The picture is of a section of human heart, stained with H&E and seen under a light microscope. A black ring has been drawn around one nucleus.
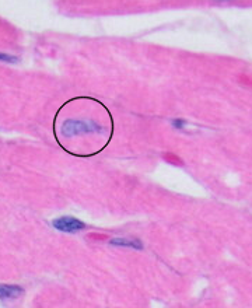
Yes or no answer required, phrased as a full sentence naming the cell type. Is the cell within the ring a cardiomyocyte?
Yes, the statement that the cell within the ring is a cardiomyocyte is correct.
